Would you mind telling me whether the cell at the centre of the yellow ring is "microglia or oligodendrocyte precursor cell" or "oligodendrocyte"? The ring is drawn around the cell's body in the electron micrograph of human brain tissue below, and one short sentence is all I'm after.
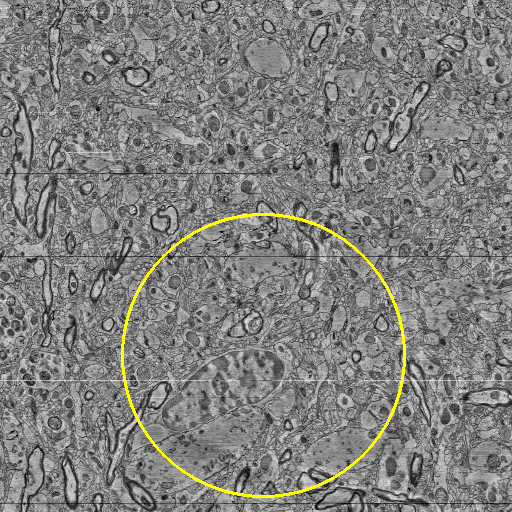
In the centre of the ring lies a microglial cell or oligodendrocyte precursor cell.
